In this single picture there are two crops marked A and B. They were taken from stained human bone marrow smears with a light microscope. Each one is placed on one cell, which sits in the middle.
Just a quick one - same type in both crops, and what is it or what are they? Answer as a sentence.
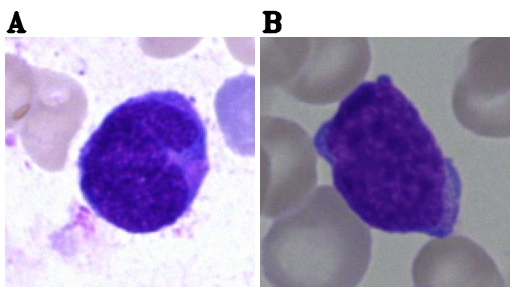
Yes, both the first crop and the second crop show blasts.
